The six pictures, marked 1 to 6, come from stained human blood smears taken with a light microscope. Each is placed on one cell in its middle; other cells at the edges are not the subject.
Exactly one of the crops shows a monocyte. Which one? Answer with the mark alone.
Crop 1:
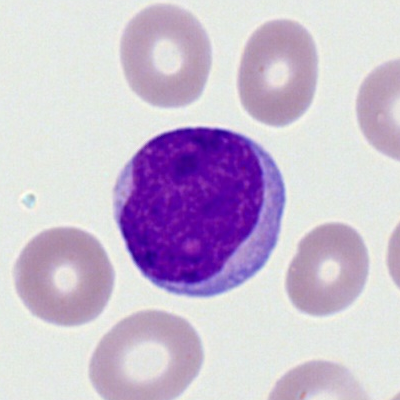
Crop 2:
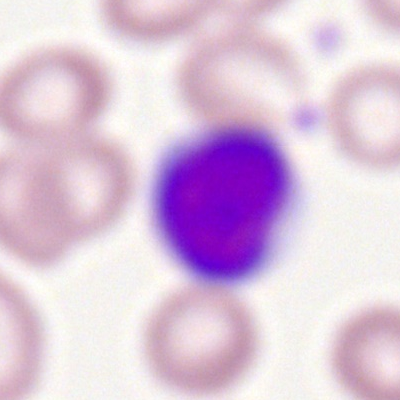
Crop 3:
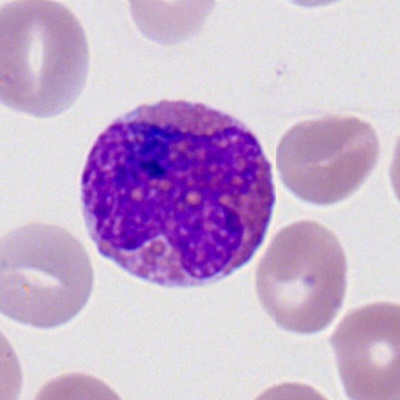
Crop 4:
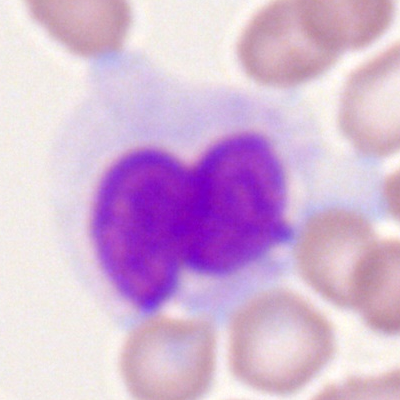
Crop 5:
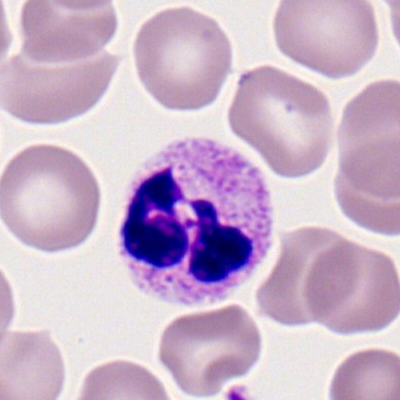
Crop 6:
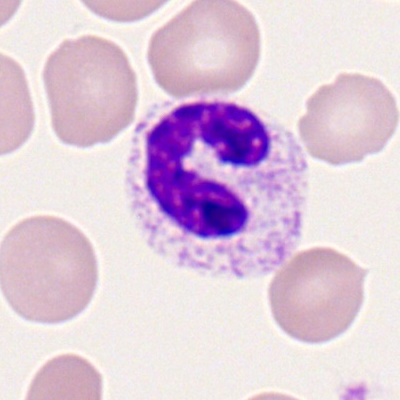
4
